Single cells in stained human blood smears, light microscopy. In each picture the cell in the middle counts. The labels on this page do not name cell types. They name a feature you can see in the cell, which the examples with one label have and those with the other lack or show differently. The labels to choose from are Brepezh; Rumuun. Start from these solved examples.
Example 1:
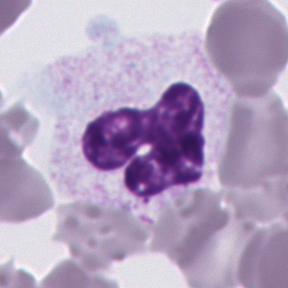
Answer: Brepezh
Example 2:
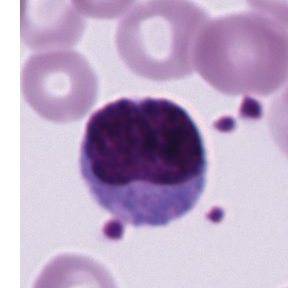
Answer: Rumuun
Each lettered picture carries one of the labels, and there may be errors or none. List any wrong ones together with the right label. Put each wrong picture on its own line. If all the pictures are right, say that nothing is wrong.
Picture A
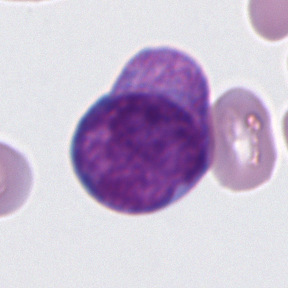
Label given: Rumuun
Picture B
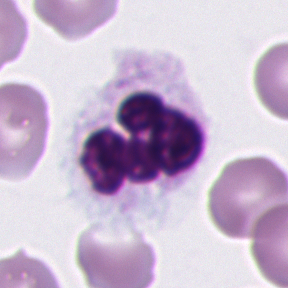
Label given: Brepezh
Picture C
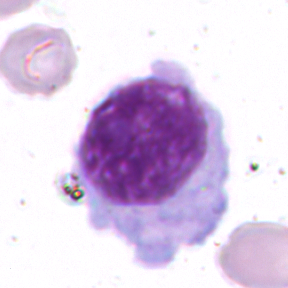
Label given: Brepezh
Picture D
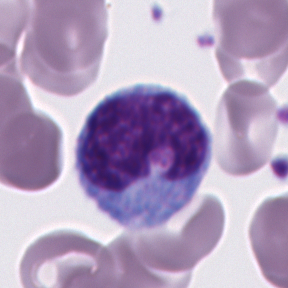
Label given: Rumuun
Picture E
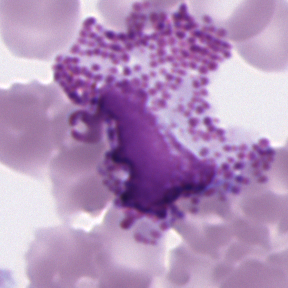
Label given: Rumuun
Wrong: E (Rumuun); correct: Brepezh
